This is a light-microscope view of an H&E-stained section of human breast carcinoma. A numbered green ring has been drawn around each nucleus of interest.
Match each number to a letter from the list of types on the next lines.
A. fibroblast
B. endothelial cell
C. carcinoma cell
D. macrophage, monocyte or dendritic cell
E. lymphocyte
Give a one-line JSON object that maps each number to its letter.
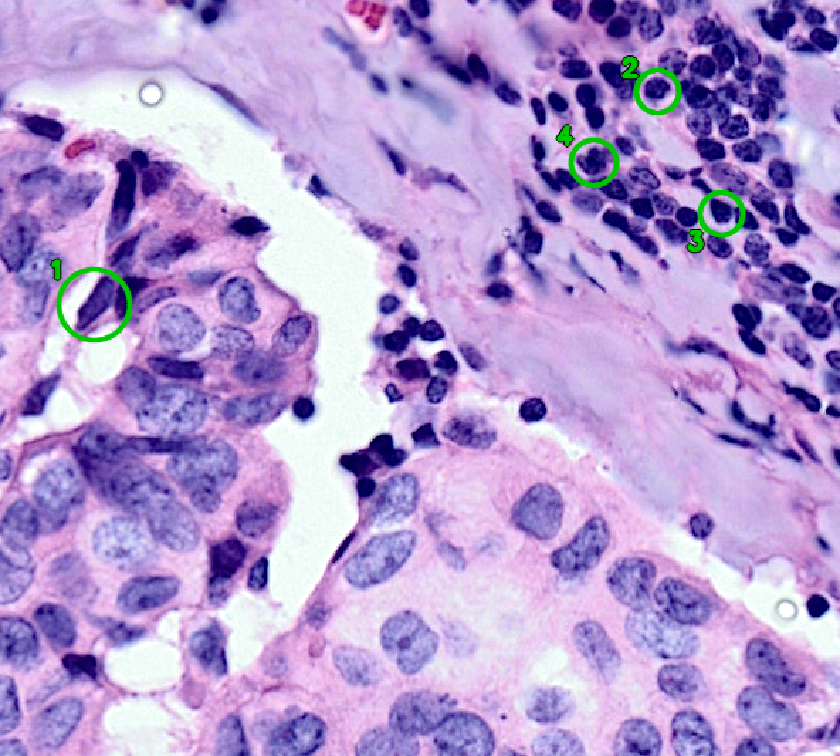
{"1": "C", "2": "E", "3": "E", "4": "E"}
